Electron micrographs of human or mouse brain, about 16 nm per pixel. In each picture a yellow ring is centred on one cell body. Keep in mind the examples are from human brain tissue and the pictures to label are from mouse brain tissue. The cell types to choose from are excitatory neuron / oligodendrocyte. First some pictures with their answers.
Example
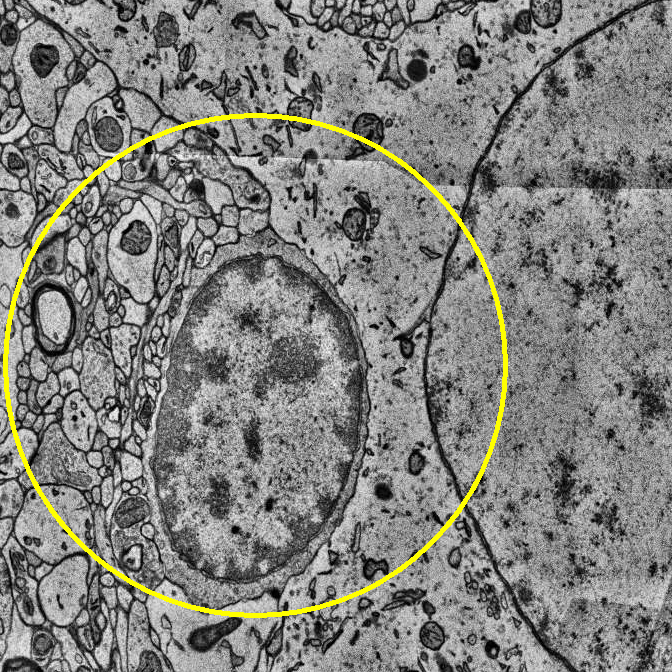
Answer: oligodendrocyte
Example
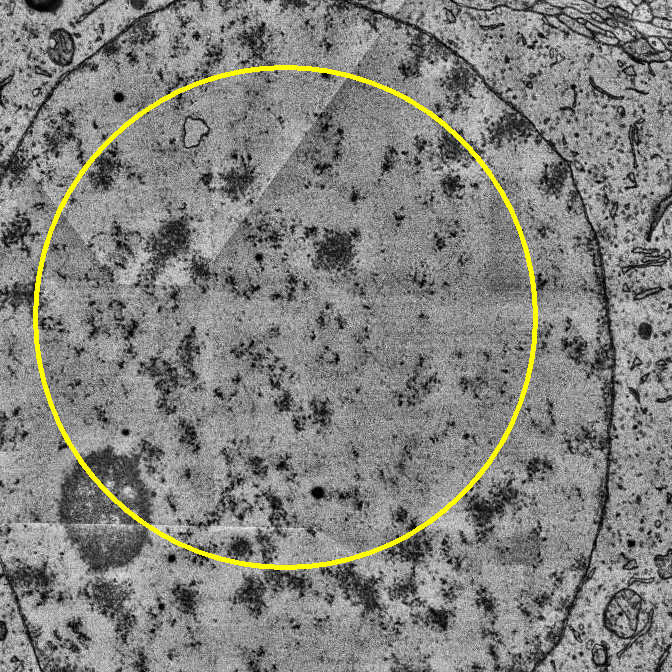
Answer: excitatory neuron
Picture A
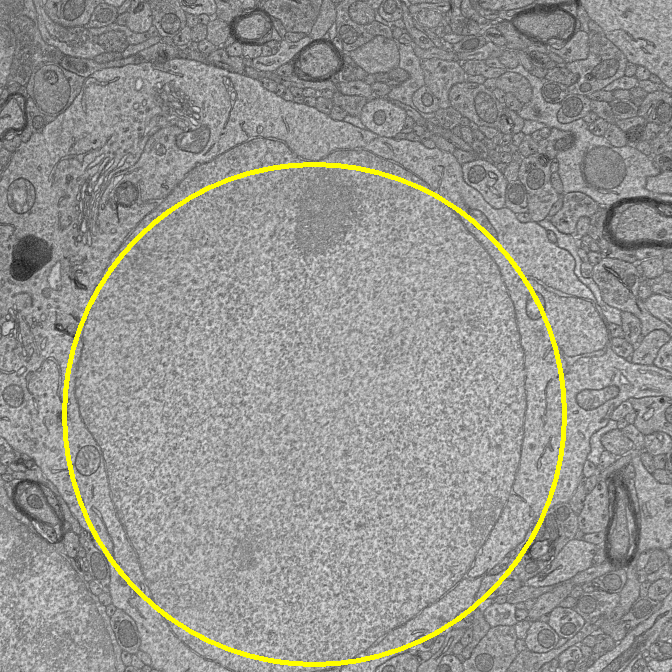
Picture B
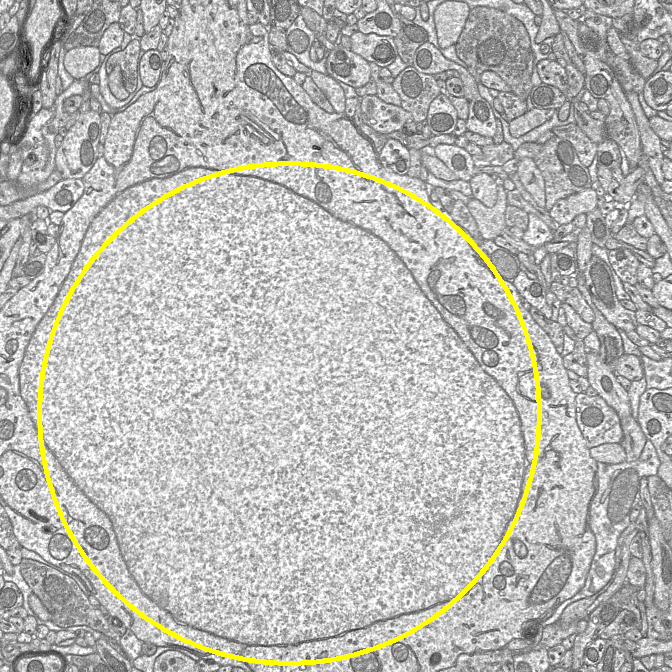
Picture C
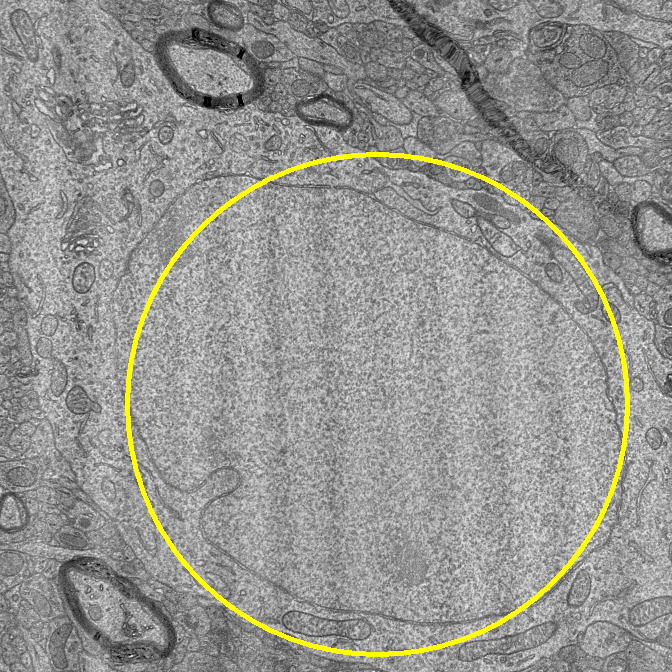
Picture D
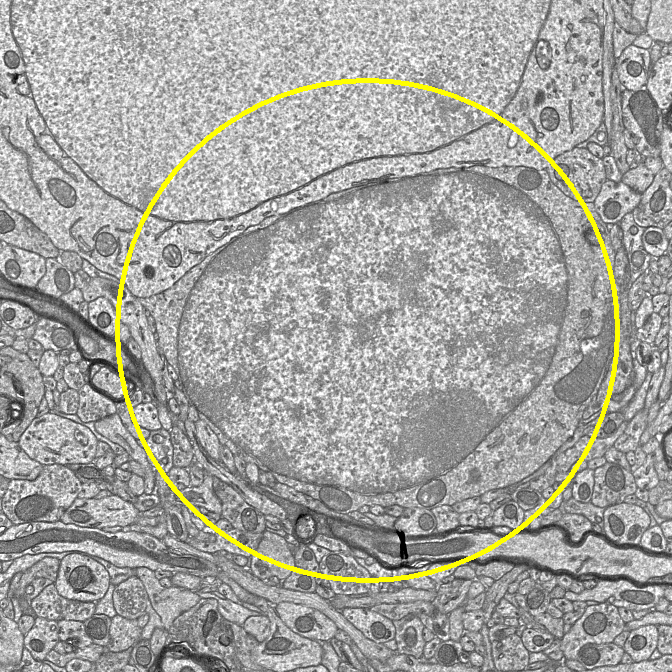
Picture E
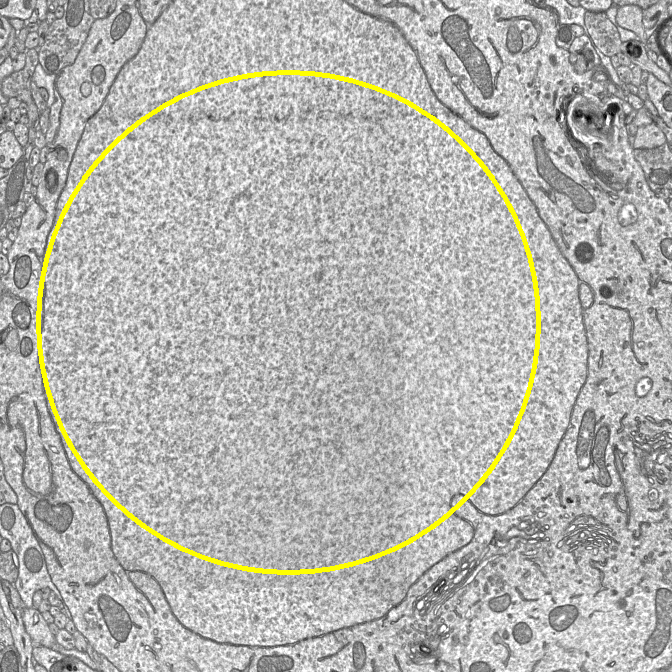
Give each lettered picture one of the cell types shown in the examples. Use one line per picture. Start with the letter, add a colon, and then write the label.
A: excitatory neuron
B: excitatory neuron
C: excitatory neuron
D: oligodendrocyte
E: excitatory neuron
